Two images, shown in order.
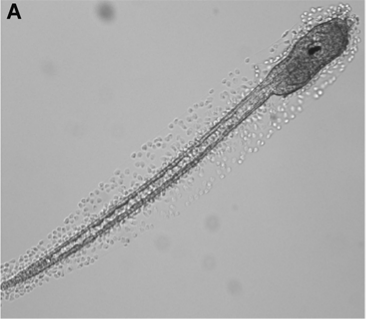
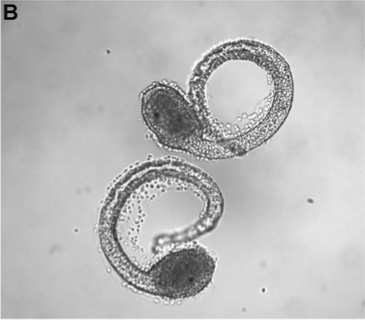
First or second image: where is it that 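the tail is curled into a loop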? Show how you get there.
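Second image: the tails of both larvae bend around into a loop. First image: the tail extends straight away from the head. On this evidence: the second image.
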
